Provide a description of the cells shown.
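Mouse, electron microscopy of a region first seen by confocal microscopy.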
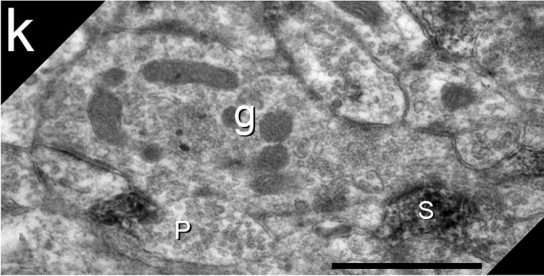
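This transmission electron micrograph shows neuropil centred on a large axon terminal that forms the central bouton of a synaptic glomerulus. The central profile is pale and contains several dark, oval mitochondria and many small vesicles. Smaller profiles lie around its edge, two of which are marked by dense, dark deposits where they abut it. Membranes of neighbouring processes fill the rest of the field.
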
